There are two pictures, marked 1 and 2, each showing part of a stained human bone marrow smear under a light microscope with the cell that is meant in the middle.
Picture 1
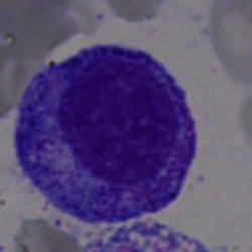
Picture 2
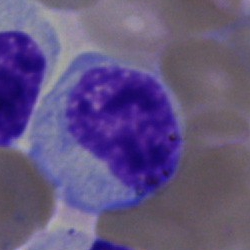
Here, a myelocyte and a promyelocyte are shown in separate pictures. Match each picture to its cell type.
1: promyelocyte
2: myelocyte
